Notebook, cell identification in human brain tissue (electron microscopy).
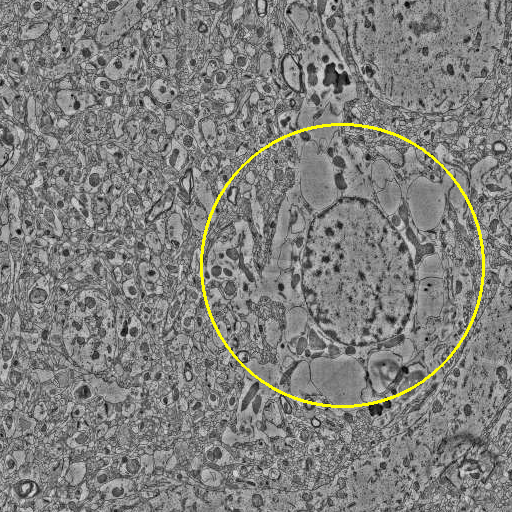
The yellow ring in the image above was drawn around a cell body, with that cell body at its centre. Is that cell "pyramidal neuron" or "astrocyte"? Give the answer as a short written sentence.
The cell in the ring is an astrocyte.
